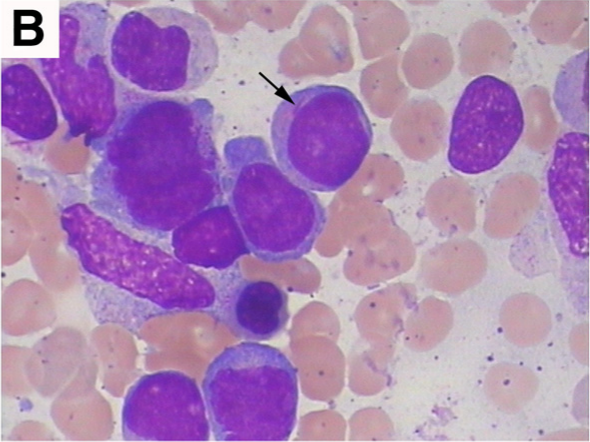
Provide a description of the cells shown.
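Bone marrow smear packed with pleomorphic large cells lying close together among red blood cells. The cells vary in size and outline; their nuclei are large, round to oval or folded, purple, with finely granular chromatin. An arrow marks one such cell with a round nucleus and a rim of blue cytoplasm. A small cell with a dense, dark round nucleus lies between them, and one elongated, smeared nucleus with open chromatin is seen at left. Pale red cells fill the background.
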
